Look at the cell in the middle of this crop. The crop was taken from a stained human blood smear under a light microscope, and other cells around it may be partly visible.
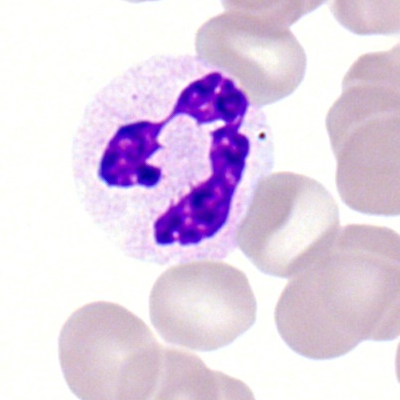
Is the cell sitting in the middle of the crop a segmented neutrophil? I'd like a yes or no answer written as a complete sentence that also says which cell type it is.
Yes, the cell in the centre is a segmented neutrophil.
